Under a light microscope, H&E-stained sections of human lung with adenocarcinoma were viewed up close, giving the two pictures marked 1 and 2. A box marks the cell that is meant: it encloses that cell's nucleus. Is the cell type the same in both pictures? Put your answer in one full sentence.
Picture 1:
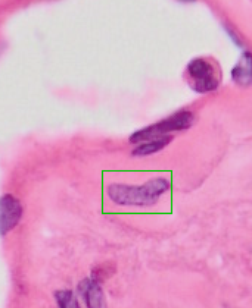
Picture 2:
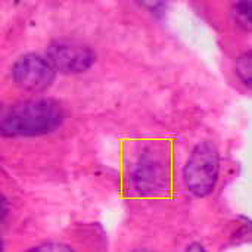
No, the types are not the same, since picture 1 shows a fibroblast and picture 2 a “macrophage or monocyte”.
